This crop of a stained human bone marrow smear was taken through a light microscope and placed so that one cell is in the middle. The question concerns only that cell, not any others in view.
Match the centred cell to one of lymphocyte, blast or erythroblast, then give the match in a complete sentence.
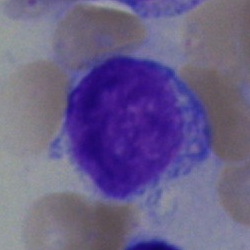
The cell shown in the center of this light-microscope crop is a blast.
